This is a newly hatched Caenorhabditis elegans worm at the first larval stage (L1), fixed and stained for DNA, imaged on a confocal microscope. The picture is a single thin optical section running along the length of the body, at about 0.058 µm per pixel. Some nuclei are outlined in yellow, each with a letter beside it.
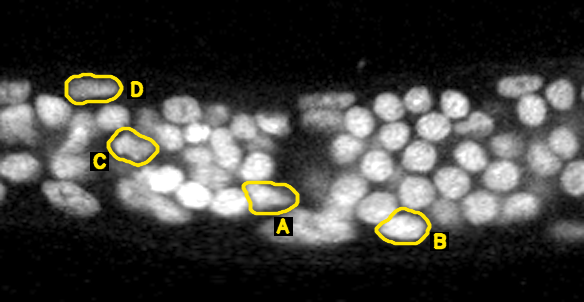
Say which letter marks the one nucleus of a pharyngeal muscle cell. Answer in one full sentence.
C is from a pharyngeal muscle cell.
